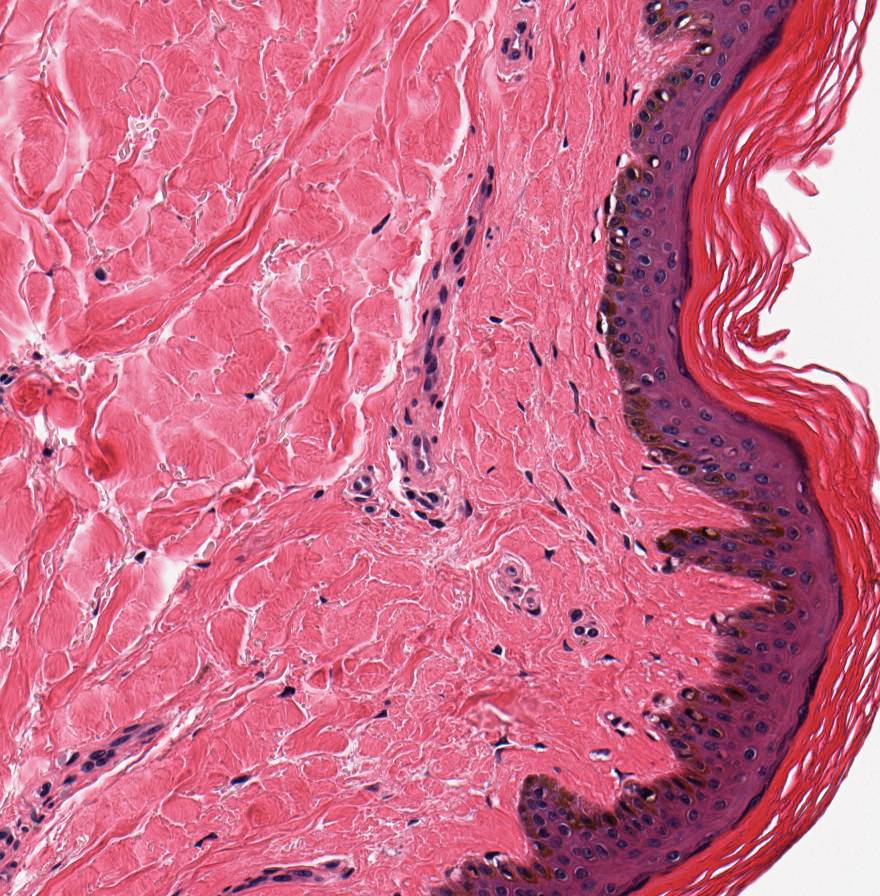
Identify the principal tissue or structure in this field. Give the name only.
dermis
